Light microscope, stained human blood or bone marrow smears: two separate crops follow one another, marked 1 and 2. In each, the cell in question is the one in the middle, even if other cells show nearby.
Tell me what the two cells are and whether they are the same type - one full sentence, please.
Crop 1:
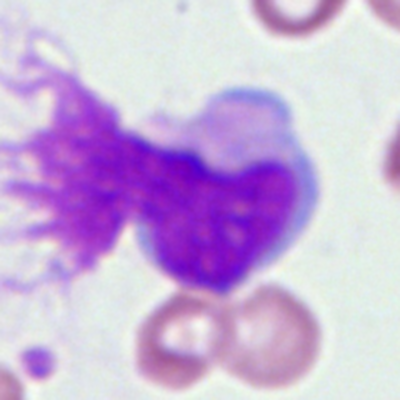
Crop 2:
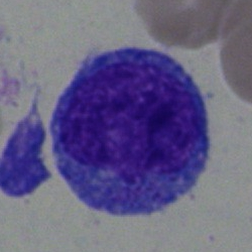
No, crop 1 displays a monocyte and crop 2 displays a blast.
